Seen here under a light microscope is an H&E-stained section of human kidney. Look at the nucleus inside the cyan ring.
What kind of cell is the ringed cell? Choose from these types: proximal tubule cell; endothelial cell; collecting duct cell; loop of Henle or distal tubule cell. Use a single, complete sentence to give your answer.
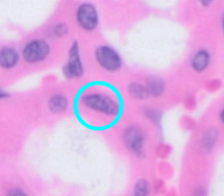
In the stained section, the ringed cell is a collecting duct cell.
